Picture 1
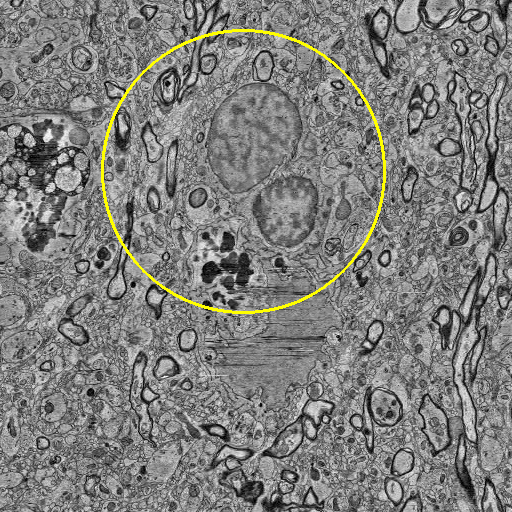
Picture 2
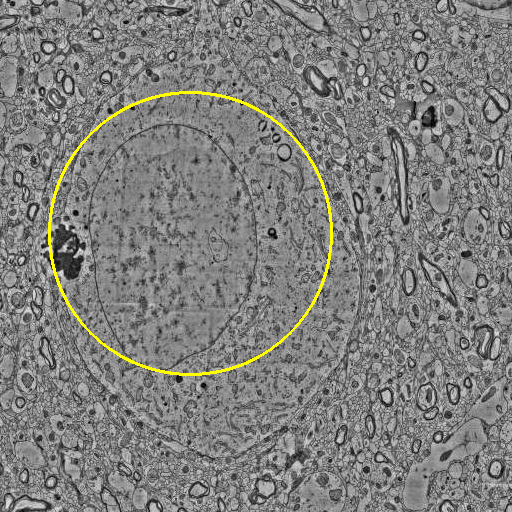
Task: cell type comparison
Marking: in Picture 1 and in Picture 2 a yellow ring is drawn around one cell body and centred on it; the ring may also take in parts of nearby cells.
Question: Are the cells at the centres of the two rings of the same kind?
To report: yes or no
no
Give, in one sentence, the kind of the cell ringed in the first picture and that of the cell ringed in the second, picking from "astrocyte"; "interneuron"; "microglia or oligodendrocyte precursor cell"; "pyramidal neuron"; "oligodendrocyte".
For the first picture it is an oligodendrocyte; for the second, a pyramidal neuron.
